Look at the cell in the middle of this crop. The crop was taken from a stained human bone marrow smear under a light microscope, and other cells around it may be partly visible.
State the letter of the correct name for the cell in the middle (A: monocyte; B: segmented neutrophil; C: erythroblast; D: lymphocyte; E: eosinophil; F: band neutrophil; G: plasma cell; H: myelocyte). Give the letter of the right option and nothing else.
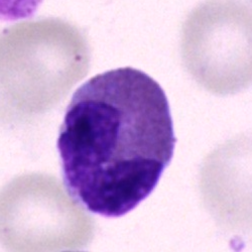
E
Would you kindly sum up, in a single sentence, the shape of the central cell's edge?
Expected answer: a smooth cell outline without projections of any sort.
